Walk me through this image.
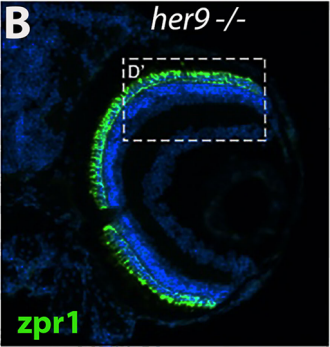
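A section through a larval eye shows the retina as a cup of densely packed blue nuclei surrounding the empty lens space. Inside them the nuclear layers are stacked without green label, and a thin green line runs just beneath the photoreceptor row.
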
